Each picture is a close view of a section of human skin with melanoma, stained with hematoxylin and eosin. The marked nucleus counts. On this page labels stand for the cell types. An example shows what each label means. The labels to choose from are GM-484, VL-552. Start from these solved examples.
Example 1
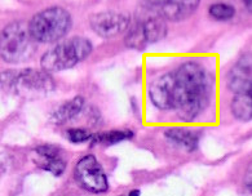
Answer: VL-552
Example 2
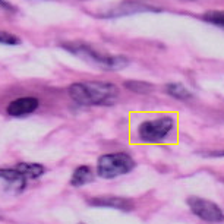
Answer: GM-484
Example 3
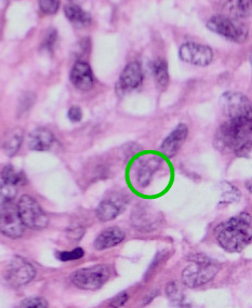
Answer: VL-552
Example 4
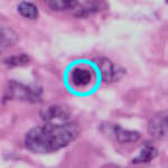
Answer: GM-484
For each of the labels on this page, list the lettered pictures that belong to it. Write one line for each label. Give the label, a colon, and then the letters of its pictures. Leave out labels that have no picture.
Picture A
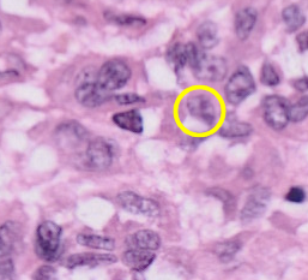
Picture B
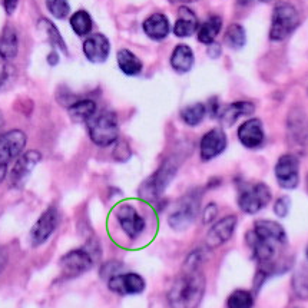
GM-484: B
VL-552: A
